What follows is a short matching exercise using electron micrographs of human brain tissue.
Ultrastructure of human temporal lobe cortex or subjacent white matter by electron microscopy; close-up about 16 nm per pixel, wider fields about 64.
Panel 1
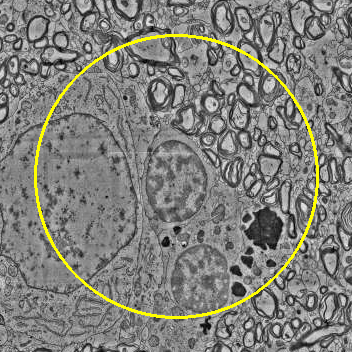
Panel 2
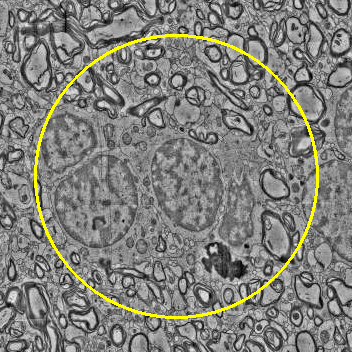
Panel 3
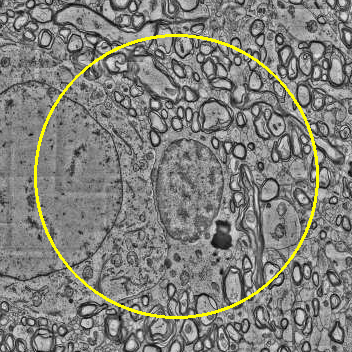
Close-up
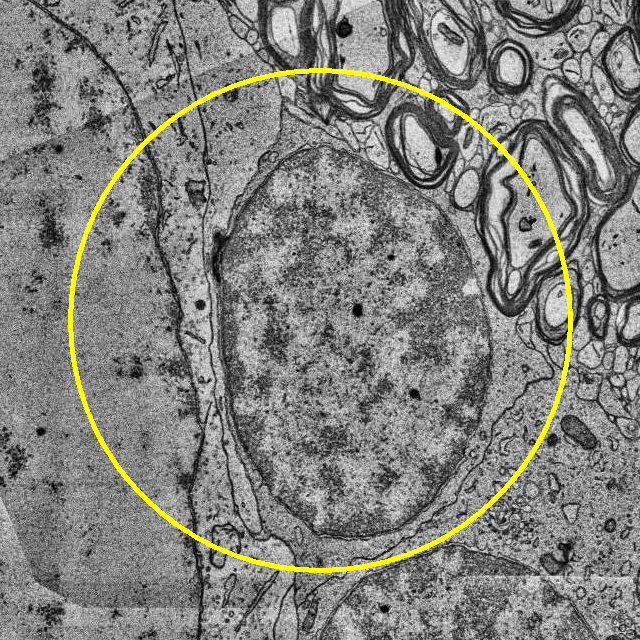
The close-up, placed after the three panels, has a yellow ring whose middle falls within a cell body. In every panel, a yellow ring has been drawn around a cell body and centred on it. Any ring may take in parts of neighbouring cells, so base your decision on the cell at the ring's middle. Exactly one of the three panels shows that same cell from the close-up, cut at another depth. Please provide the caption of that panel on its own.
Panel 1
